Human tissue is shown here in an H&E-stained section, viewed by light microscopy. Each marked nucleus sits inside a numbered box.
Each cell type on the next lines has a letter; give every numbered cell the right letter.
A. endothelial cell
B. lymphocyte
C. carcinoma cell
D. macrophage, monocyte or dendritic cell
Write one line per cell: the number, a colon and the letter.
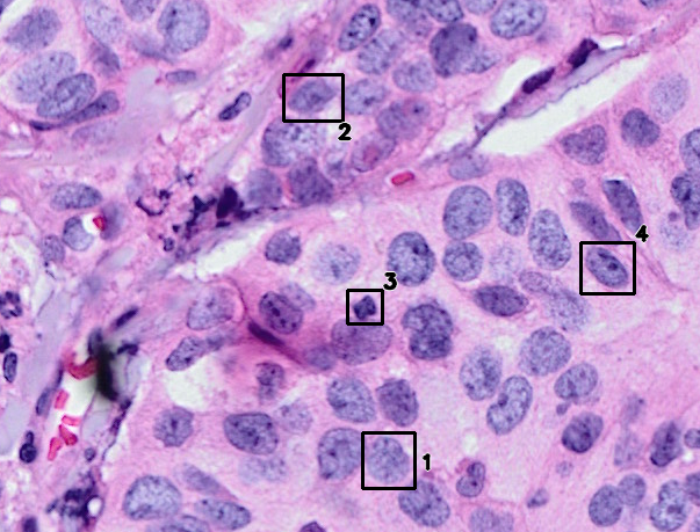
1: C
2: C
3: B
4: C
